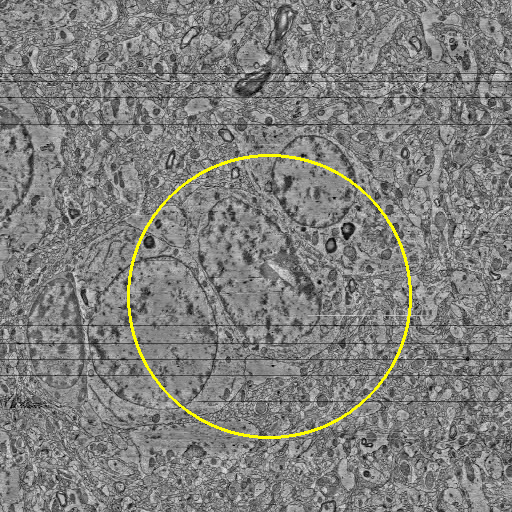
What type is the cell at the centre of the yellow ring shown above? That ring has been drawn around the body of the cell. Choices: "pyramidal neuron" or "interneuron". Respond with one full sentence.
My answer is that an interneuron lies at the centre of the yellow ring above.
